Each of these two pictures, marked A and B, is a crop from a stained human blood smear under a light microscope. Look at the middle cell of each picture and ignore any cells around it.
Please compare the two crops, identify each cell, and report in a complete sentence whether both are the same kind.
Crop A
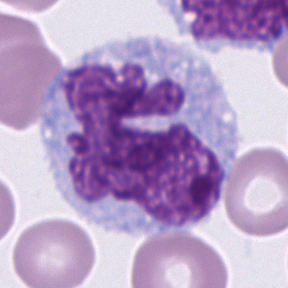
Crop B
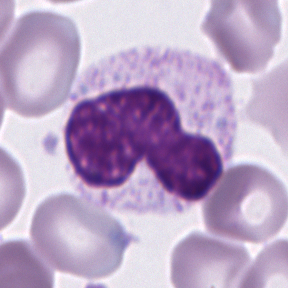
No, the middle of crop A shows a monocyte, and the middle of crop B shows a band neutrophil.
